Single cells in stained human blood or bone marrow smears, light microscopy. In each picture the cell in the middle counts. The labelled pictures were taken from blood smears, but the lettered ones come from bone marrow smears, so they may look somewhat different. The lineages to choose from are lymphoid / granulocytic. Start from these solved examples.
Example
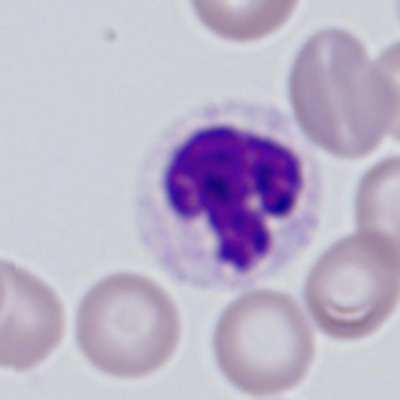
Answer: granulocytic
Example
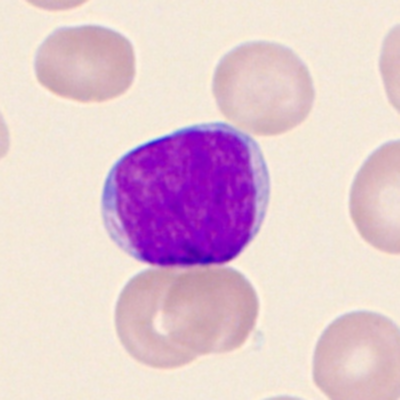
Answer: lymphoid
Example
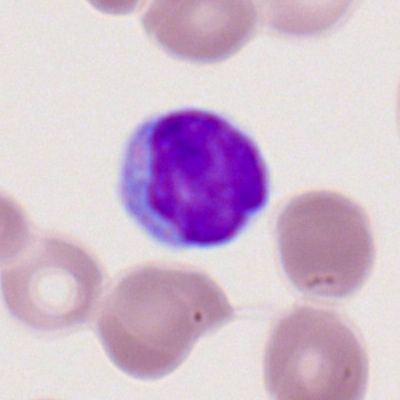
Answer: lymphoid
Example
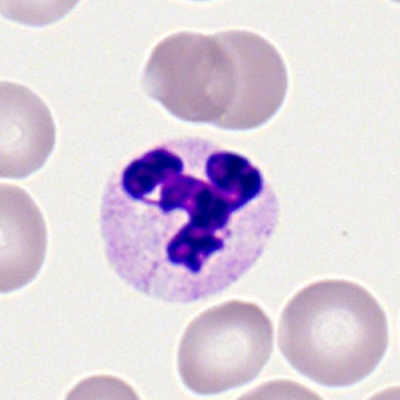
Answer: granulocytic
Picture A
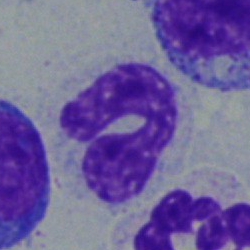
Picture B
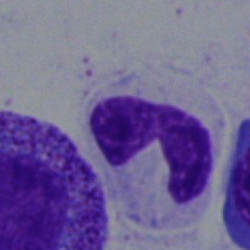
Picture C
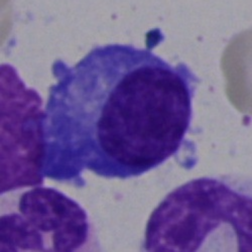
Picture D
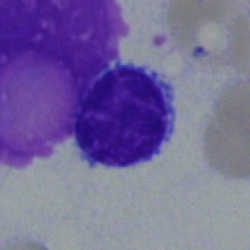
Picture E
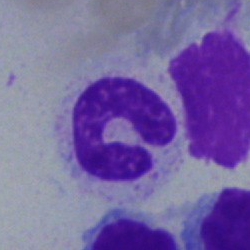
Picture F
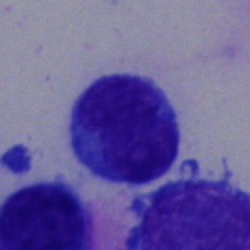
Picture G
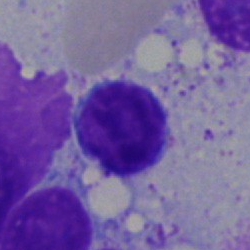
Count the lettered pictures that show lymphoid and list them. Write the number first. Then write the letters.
Count: 4 (C, D, F, G)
